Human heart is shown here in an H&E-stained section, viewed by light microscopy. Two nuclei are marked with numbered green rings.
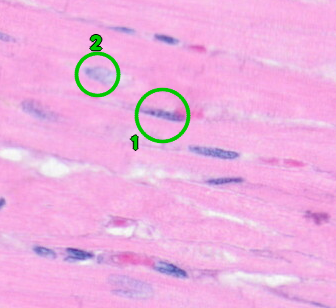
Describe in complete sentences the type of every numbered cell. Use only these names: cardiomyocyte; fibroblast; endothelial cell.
Cell 1 is an endothelial cell and cell 2 is a cardiomyocyte.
